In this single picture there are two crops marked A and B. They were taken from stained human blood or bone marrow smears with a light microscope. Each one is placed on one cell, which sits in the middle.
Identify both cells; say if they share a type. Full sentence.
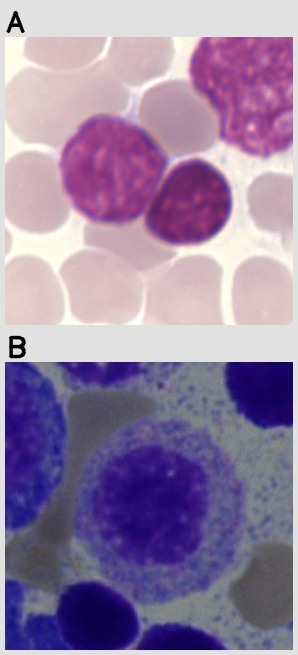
No, crop A is where a blast is shown, and crop B is where a myelocyte is shown.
